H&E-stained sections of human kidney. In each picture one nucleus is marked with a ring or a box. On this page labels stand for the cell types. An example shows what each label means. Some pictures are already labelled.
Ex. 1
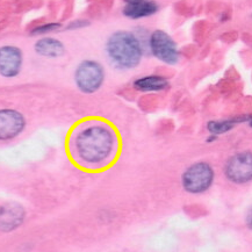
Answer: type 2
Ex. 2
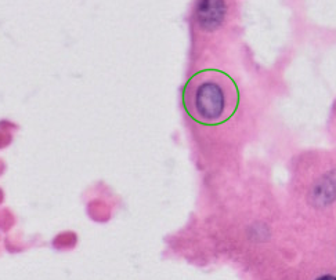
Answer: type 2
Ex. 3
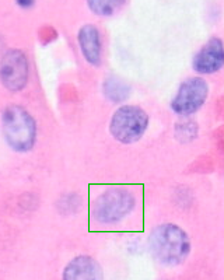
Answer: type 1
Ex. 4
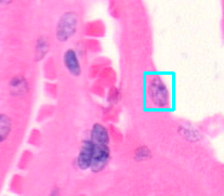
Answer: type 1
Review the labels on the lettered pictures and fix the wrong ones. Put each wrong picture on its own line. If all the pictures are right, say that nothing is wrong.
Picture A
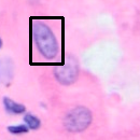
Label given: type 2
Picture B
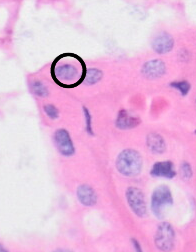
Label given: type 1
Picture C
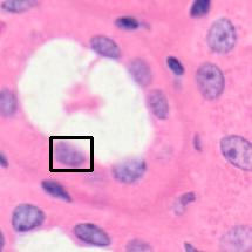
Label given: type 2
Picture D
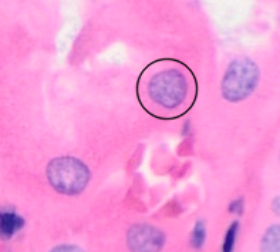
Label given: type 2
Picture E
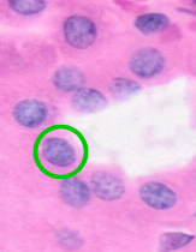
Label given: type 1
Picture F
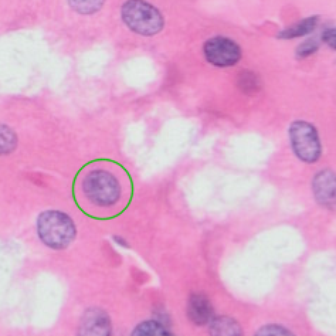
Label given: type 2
C: not type 2 but type 1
